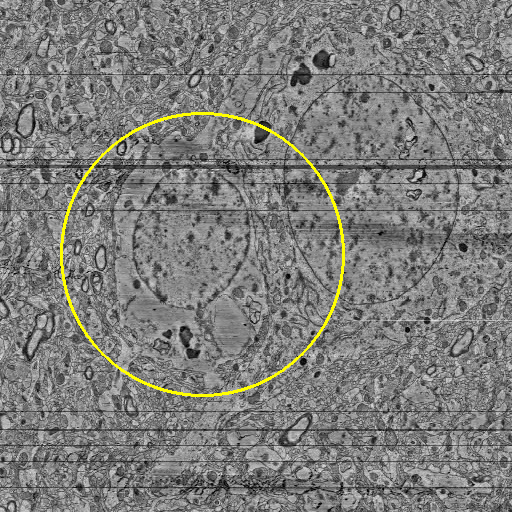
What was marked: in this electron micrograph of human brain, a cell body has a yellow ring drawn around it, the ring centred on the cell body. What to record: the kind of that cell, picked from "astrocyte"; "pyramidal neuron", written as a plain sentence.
The centred cell is an astrocyte.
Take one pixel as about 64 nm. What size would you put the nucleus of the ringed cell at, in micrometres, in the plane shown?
The ringed cell's nucleus measures approximately 10 by 7 micrometres in this plane.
